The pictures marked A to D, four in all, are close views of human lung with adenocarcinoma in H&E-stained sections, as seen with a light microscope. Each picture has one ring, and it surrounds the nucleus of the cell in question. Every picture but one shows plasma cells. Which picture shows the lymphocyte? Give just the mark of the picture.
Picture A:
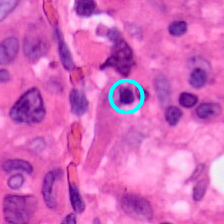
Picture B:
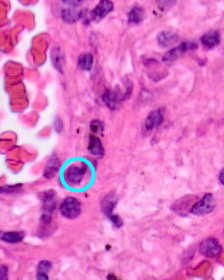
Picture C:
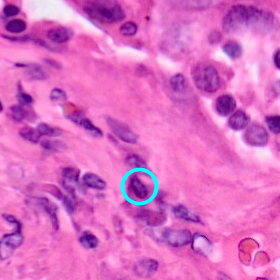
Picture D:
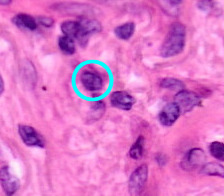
A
